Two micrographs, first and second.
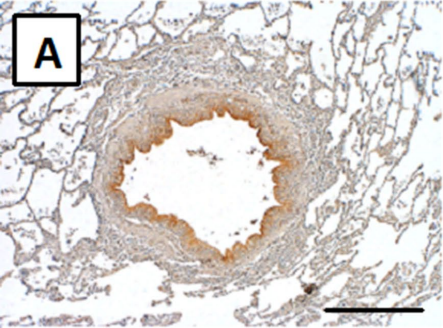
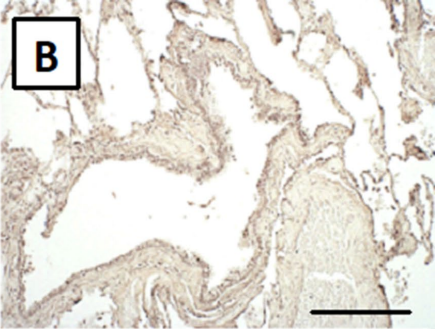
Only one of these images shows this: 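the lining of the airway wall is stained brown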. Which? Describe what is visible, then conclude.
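Second image: the airway walls are pale beige with no distinct brown band. First image: a strong brown band lines the inner surface of the airway. The answer: the first image.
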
